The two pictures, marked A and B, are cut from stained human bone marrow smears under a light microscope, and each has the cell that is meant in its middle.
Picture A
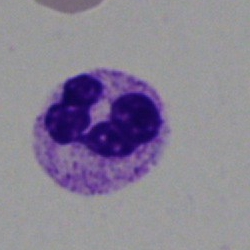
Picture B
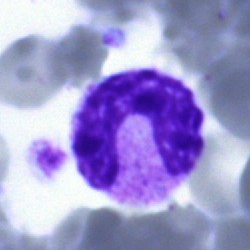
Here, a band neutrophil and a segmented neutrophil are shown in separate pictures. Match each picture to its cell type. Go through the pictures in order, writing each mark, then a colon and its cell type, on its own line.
A: segmented neutrophil
B: band neutrophil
